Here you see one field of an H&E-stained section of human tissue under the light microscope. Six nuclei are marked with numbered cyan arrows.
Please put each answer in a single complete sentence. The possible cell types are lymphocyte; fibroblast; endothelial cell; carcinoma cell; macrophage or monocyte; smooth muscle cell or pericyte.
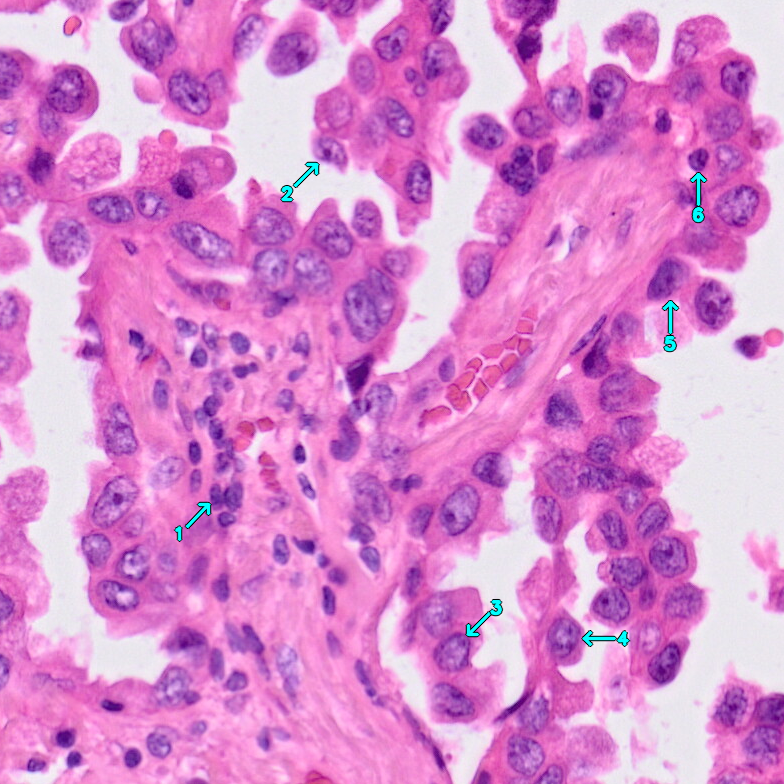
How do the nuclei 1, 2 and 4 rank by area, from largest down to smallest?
By area, largest first, they run 4, 2, 1.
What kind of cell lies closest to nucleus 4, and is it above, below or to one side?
Just above and to the right of nucleus 4 lies the nearest nucleus, which belongs to a carcinoma cell.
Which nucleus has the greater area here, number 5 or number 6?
Nucleus 5 is larger, with an area about 3 times that of nucleus 6.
